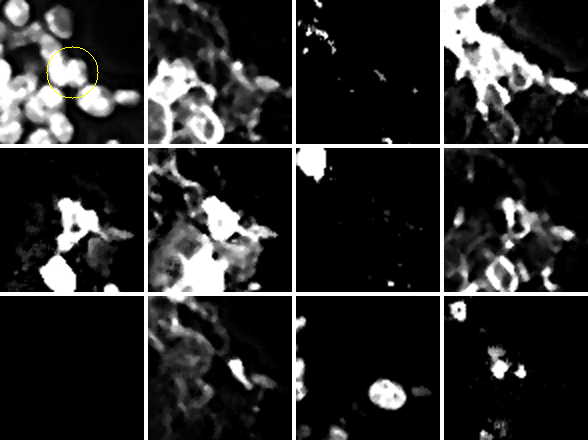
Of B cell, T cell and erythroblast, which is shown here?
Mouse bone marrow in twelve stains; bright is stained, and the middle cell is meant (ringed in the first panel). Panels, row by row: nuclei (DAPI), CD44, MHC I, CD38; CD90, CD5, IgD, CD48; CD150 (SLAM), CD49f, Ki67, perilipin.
T cell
